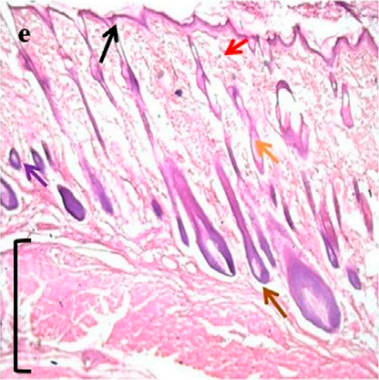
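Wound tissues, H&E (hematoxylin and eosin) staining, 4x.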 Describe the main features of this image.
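The epidermis is a narrow purple line along the top surface. The dermis is loose and pale pink. Numerous long hair follicles run in parallel, obliquely downward, their deep bulbs stained purple and lying near the lower dermis; pale lobules sit beside some follicles in the upper dermis. At the bottom, a broad band of dense pink fibrous tissue runs horizontally beneath the follicle bulbs.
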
